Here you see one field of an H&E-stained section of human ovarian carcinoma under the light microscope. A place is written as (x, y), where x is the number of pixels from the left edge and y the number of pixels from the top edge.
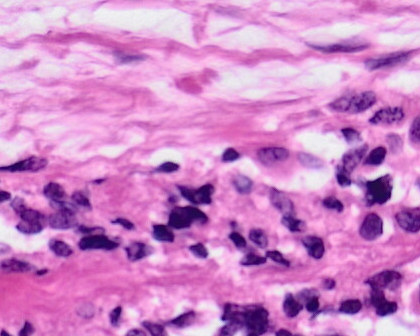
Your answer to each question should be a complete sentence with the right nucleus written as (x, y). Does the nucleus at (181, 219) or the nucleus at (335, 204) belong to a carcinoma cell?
Of these two nuclei, it is the one at (181, 219) that belongs to a carcinoma cell.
